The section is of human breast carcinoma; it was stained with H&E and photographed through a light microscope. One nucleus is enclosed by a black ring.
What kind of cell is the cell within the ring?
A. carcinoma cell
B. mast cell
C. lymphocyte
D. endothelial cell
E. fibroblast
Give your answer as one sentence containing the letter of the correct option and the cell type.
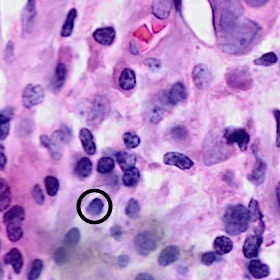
Here the cell within the ring is a lymphocyte; pick option C.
